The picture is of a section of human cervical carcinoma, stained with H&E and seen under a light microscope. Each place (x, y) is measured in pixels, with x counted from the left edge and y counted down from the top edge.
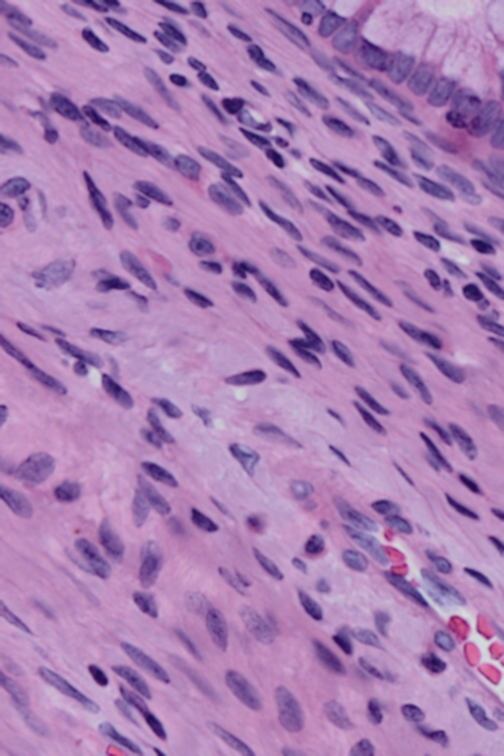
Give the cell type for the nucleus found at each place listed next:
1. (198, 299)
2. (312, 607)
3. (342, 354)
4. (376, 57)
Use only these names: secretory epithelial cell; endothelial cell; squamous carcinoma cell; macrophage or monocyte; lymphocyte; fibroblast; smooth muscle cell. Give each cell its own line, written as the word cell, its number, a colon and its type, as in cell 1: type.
cell 1: fibroblast
cell 2: fibroblast
cell 3: fibroblast
cell 4: secretory epithelial cell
